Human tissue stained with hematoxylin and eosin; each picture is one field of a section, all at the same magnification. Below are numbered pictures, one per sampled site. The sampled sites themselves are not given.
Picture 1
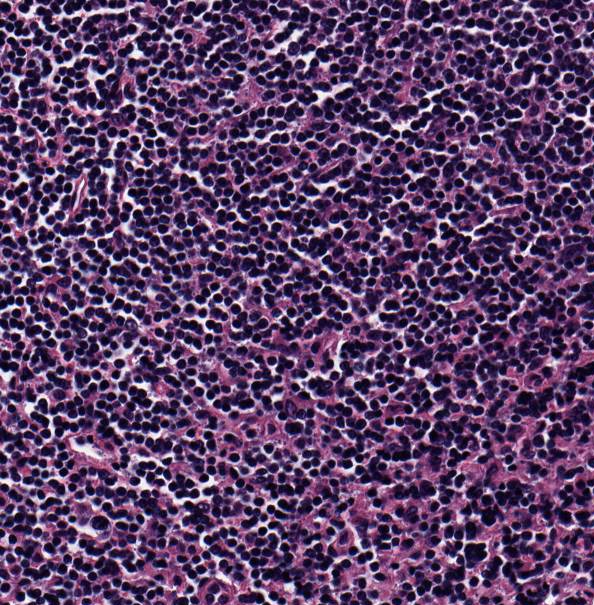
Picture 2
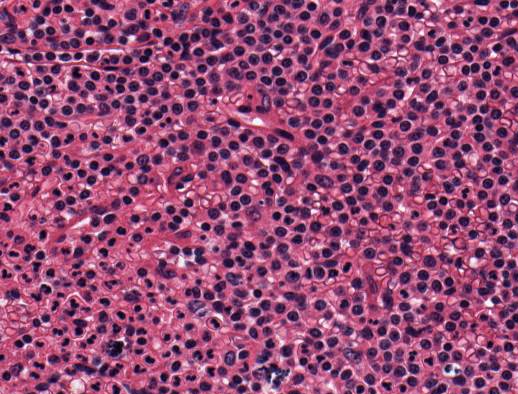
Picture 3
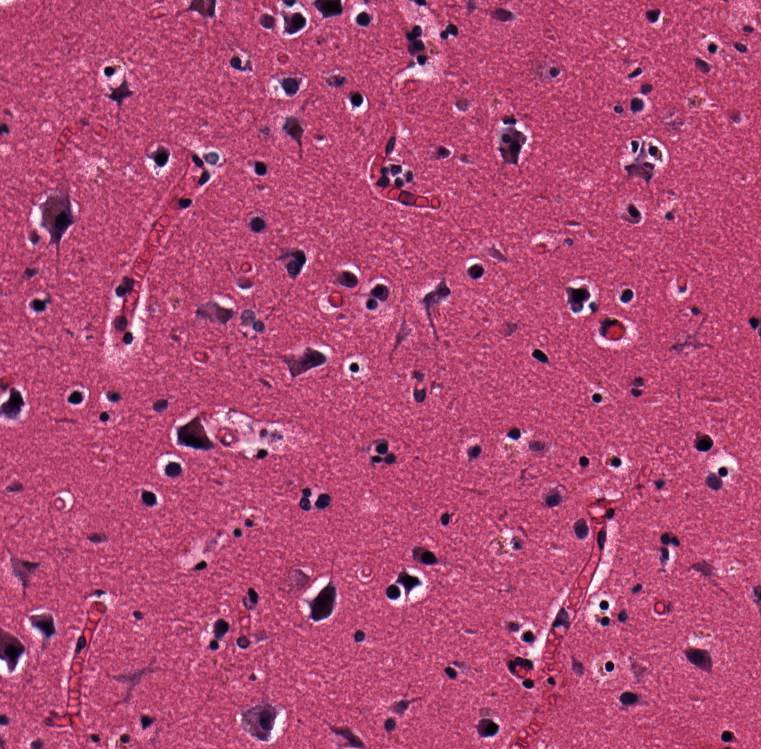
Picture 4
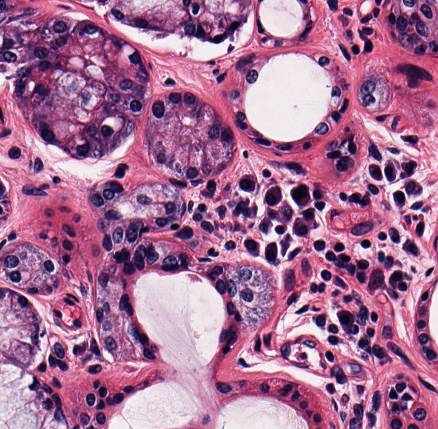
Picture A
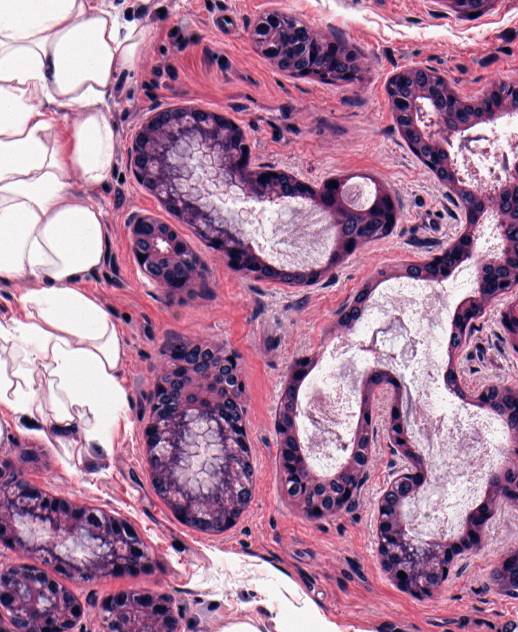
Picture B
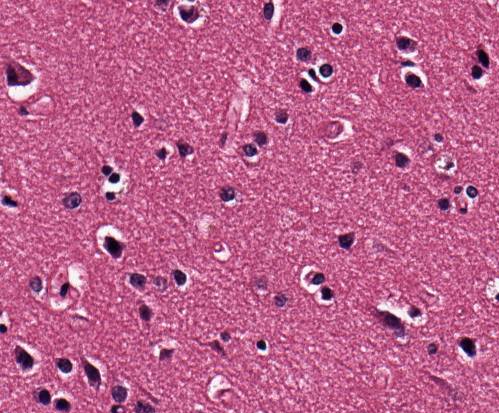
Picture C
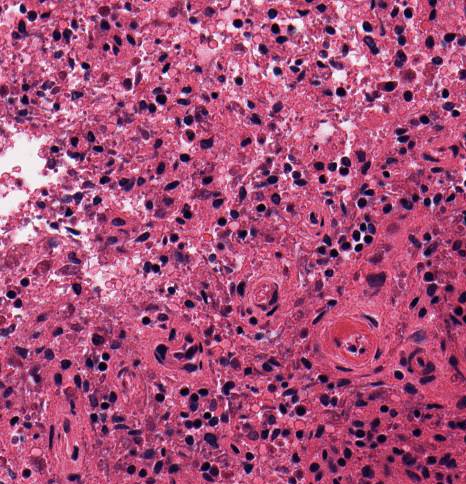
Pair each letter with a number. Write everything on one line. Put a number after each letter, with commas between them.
A 4, B 3, C 2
